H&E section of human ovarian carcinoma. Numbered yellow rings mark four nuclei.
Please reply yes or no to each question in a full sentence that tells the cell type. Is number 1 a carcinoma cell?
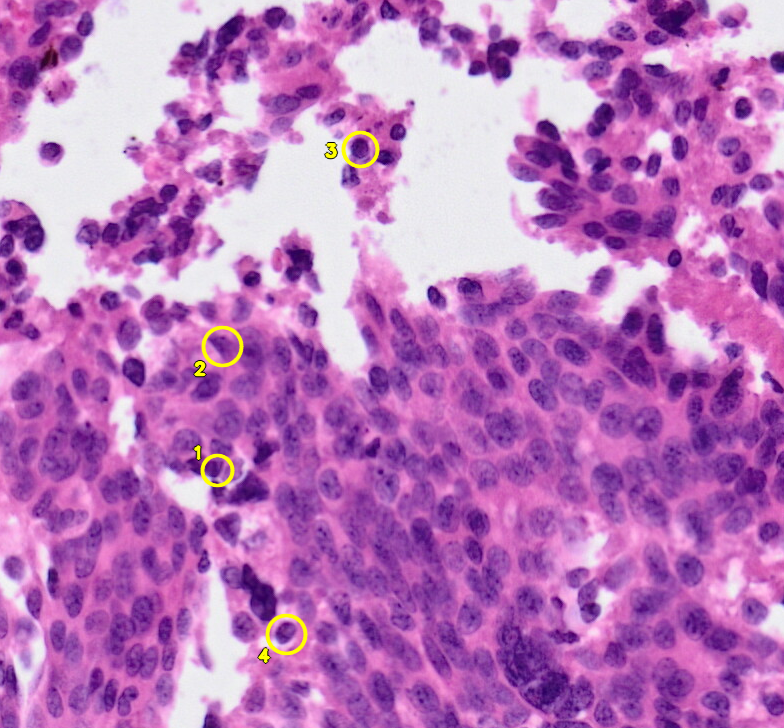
Yes, the cell bearing the number 1 is a carcinoma cell.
